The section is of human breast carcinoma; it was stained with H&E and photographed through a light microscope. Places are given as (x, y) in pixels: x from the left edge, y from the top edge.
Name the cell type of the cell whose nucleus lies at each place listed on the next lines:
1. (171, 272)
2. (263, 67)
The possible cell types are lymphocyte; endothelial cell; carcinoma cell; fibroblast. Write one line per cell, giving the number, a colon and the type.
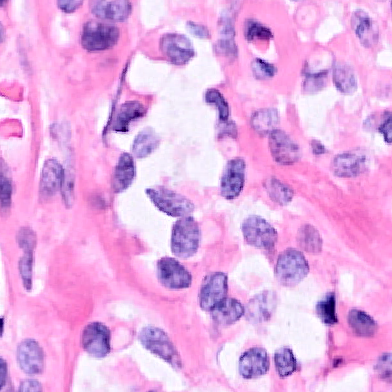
1: carcinoma cell
2: endothelial cell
